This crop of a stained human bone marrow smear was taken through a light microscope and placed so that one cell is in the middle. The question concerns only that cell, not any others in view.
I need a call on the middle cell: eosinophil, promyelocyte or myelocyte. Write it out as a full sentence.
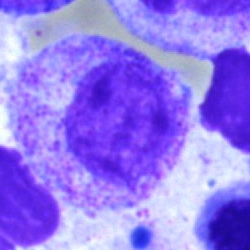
The central cell in this smear crop is a myelocyte.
